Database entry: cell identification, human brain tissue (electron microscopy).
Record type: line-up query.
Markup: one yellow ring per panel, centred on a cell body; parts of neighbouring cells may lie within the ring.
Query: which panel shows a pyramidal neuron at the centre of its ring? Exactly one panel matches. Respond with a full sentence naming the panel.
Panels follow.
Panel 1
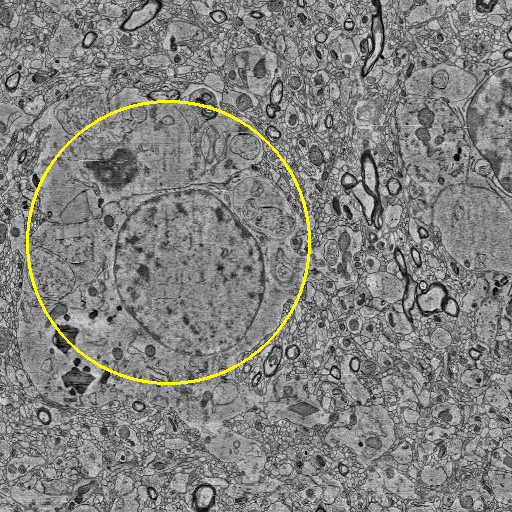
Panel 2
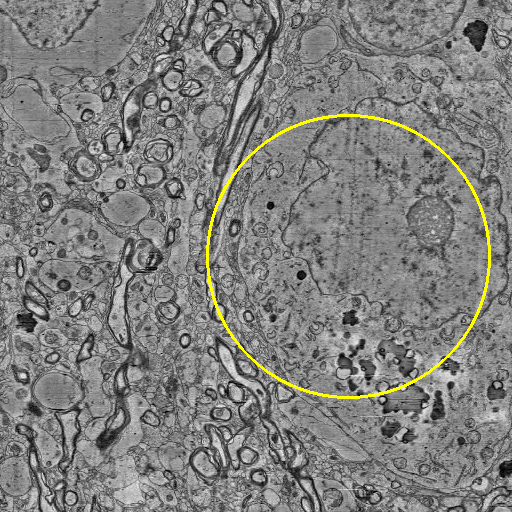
Panel 2 shows it at the centre of the ring.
